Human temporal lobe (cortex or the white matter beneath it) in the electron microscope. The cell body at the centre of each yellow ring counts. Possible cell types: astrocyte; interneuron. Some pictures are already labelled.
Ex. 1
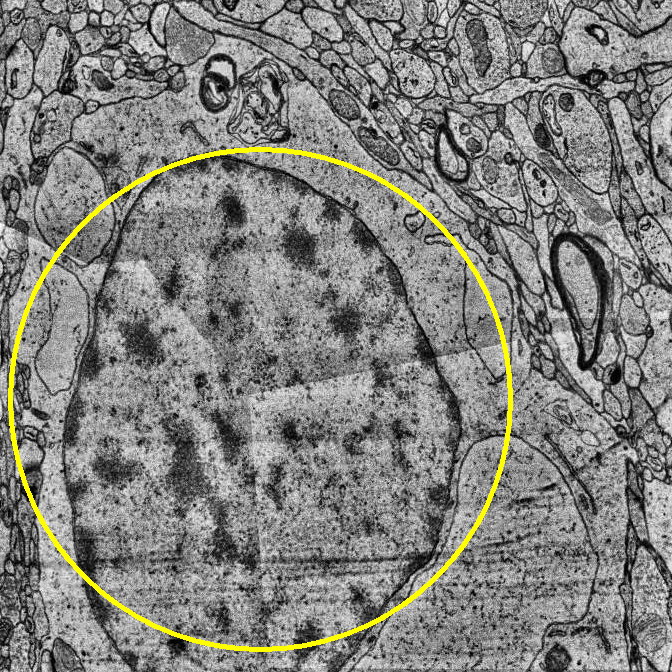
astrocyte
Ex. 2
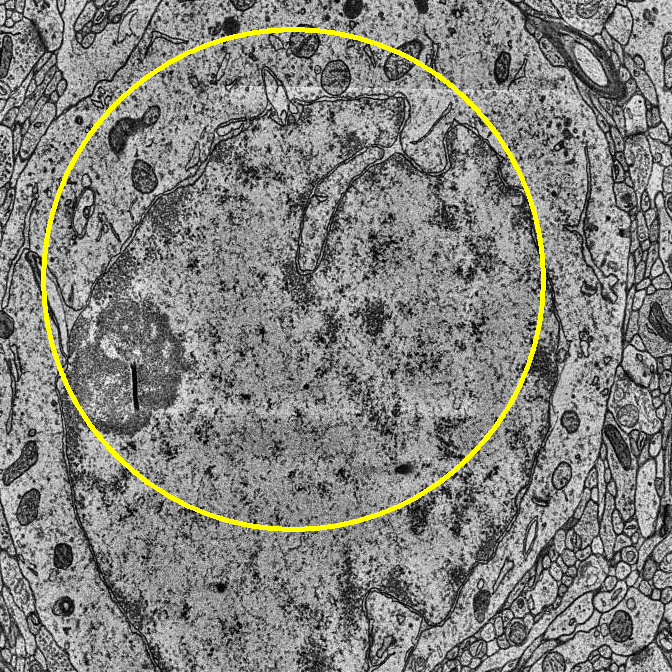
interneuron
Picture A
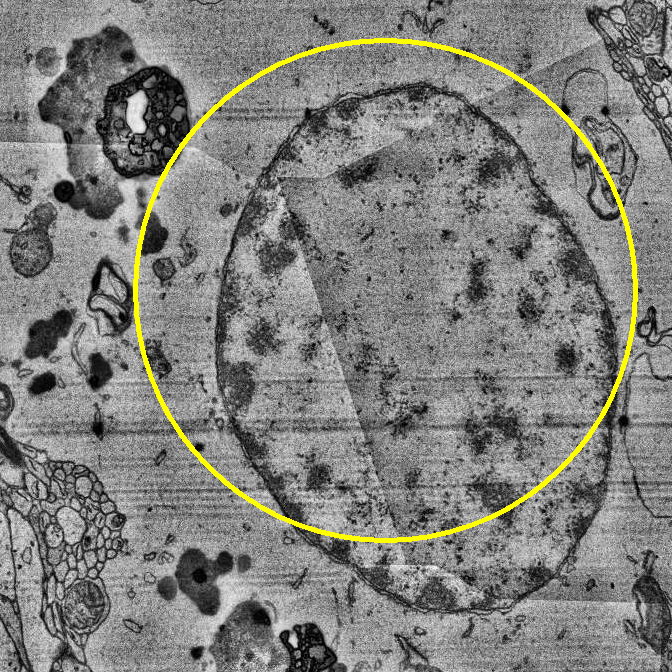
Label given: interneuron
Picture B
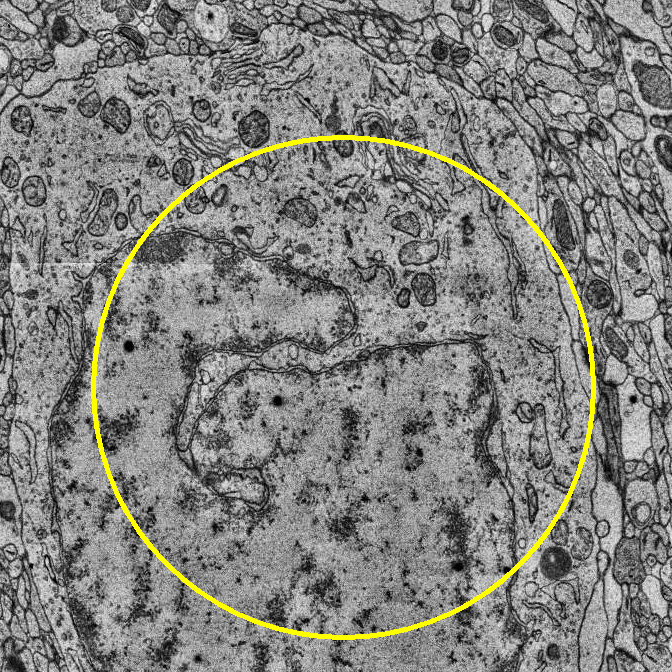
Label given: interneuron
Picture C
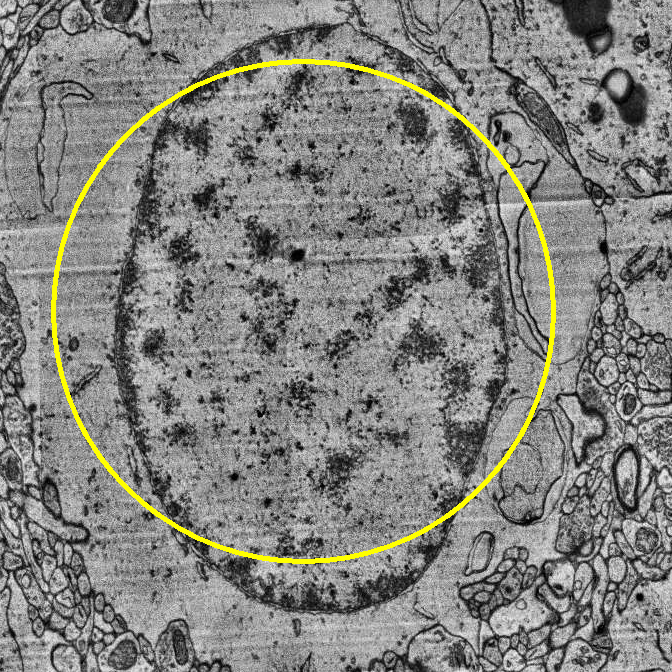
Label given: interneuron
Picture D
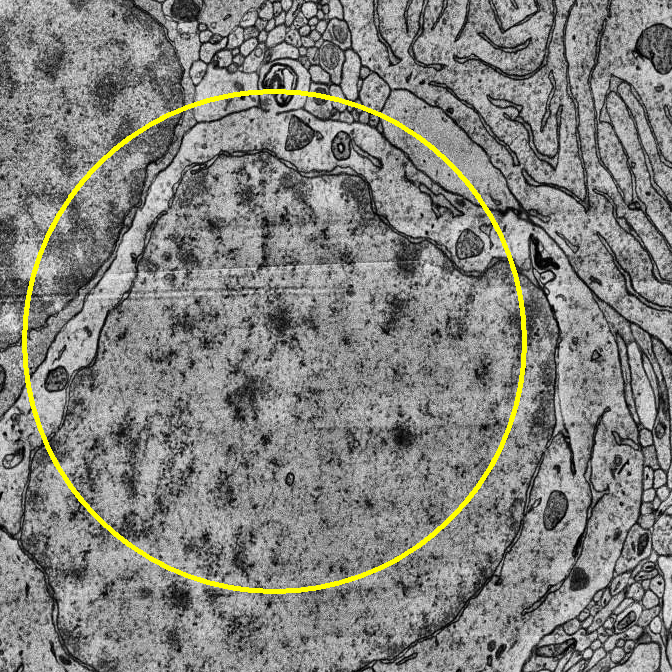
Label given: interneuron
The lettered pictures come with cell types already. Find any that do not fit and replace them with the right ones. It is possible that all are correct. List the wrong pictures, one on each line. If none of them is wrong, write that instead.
Wrong: A (interneuron); correct: astrocyte
Wrong: C (interneuron); correct: astrocyte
